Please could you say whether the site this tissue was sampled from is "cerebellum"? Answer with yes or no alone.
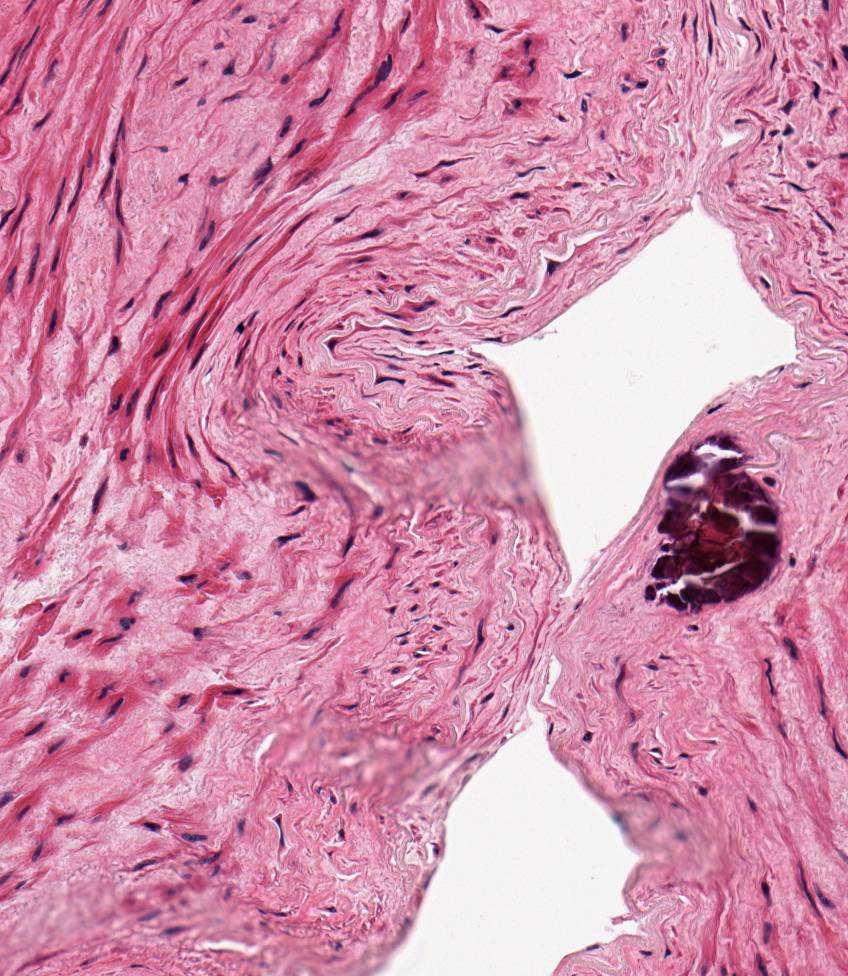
no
